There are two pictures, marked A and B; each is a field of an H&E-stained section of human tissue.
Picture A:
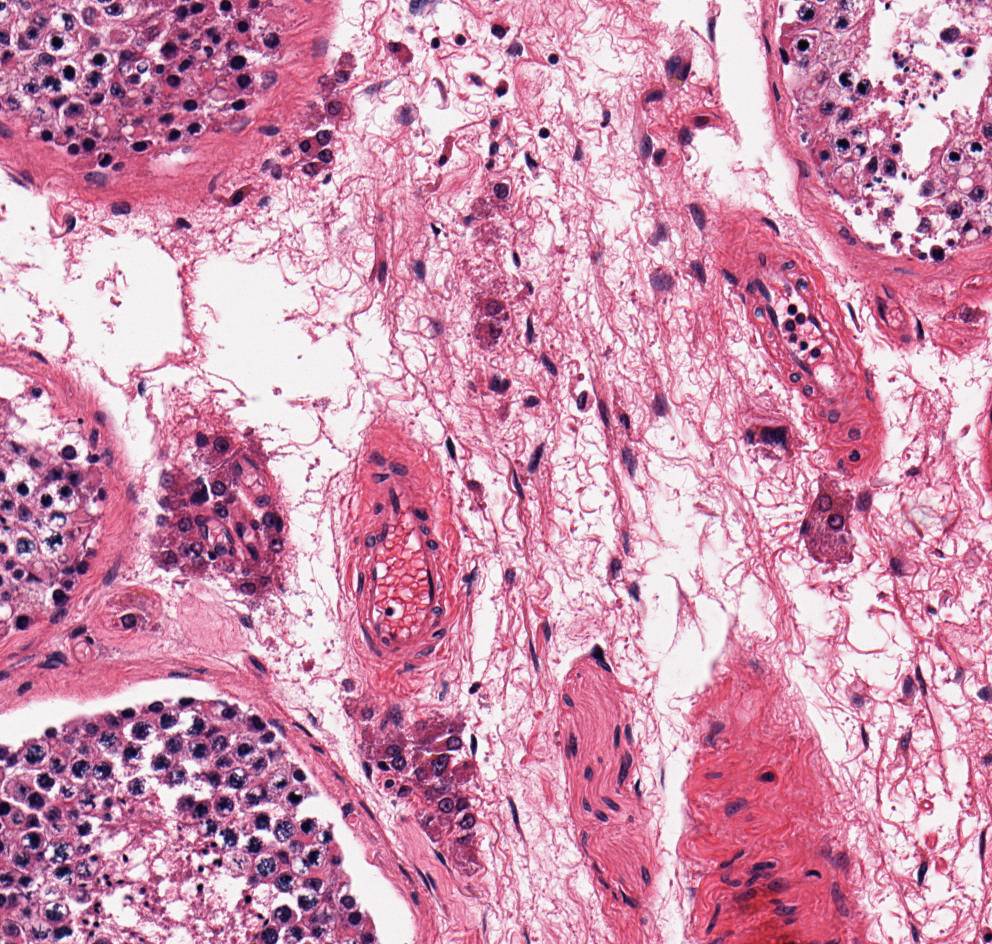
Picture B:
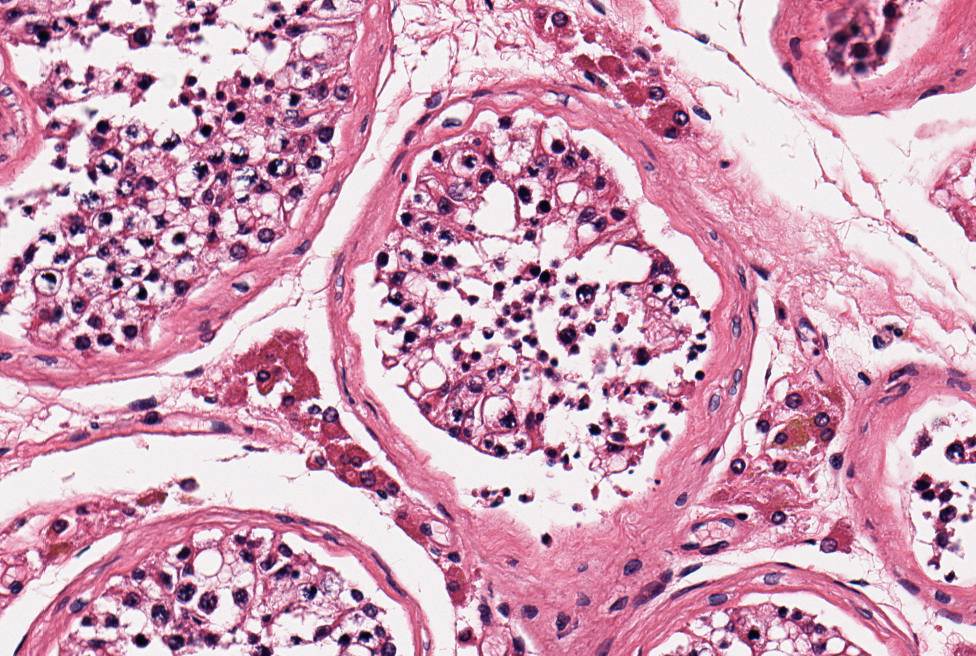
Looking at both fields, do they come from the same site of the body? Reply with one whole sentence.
Yes, the two fields both come from the testis.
